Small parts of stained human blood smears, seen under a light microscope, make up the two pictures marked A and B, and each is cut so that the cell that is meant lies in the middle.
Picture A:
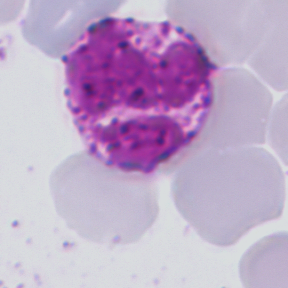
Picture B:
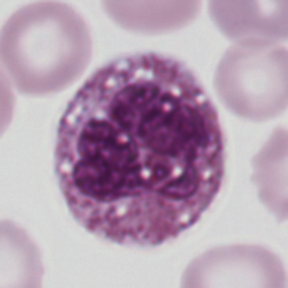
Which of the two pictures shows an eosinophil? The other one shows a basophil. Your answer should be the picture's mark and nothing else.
B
